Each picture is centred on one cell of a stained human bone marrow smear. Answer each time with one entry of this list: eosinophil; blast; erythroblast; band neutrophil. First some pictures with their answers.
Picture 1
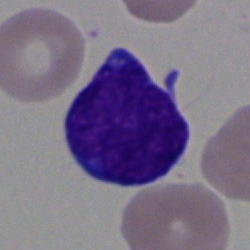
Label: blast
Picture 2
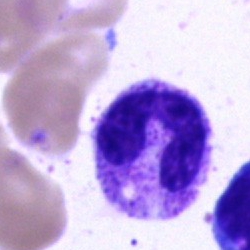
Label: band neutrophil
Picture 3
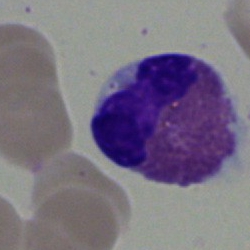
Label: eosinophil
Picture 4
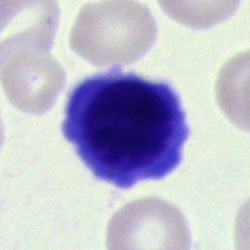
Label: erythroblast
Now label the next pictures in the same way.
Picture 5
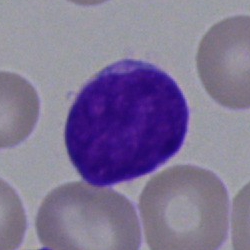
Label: blast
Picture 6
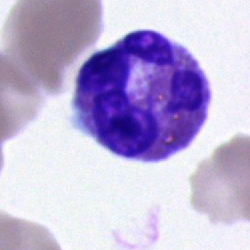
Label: eosinophil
